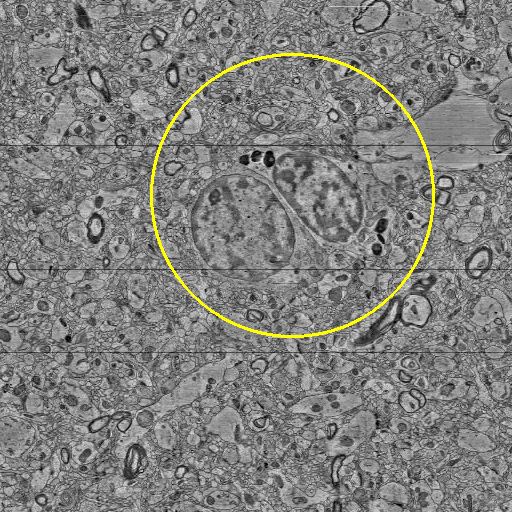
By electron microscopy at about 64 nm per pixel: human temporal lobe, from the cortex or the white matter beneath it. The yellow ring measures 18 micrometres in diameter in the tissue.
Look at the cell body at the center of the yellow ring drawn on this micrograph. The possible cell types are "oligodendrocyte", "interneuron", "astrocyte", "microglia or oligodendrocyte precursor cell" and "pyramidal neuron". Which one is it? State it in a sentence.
The cell in the middle of the ring is a microglial cell or oligodendrocyte precursor cell.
